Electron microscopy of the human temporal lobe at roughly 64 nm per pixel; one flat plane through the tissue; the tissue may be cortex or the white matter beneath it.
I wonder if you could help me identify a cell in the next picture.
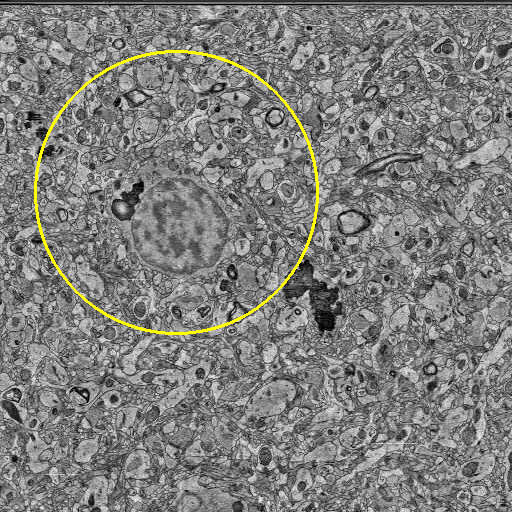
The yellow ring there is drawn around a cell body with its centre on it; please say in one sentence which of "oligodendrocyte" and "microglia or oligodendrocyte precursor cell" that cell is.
The yellow ring is centred on an oligodendrocyte.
